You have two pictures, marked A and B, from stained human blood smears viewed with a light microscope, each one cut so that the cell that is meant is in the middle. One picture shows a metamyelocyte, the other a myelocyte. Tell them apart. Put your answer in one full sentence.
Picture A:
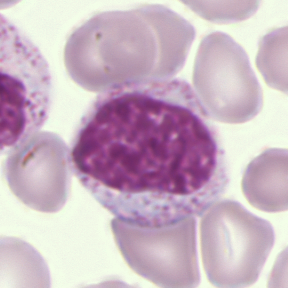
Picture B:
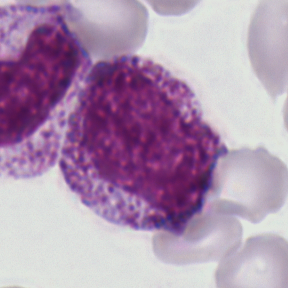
It is picture A that shows a metamyelocyte, and picture B that shows a myelocyte.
